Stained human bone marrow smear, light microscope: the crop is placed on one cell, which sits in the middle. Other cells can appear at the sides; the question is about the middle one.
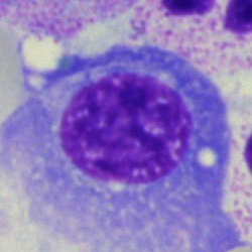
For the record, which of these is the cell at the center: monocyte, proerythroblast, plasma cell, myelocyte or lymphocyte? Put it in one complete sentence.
The cell that lies at the centre of the crop is a plasma cell.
